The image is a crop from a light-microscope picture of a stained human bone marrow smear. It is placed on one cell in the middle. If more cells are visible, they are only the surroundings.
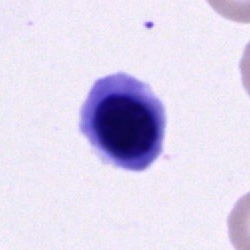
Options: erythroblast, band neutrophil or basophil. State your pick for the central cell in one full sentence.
The cell marked by its central position in the crop is an erythroblast.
